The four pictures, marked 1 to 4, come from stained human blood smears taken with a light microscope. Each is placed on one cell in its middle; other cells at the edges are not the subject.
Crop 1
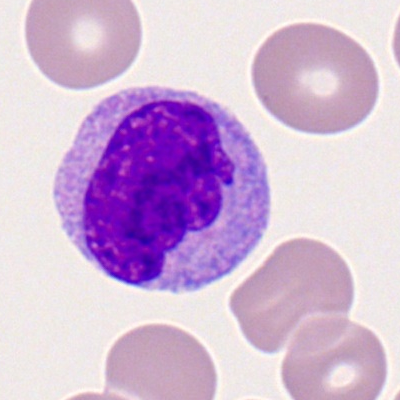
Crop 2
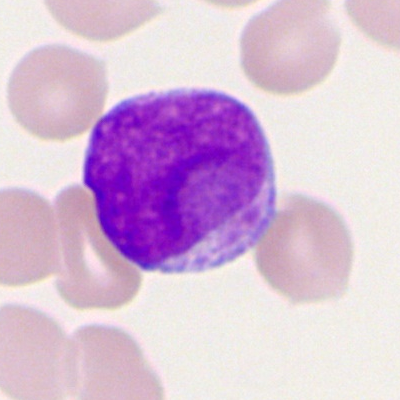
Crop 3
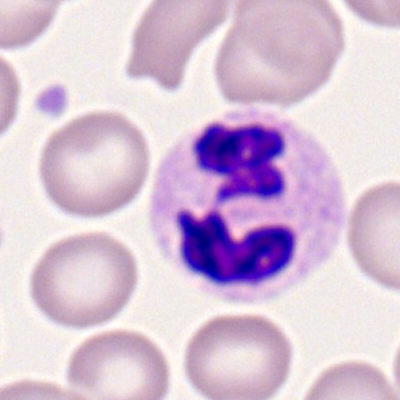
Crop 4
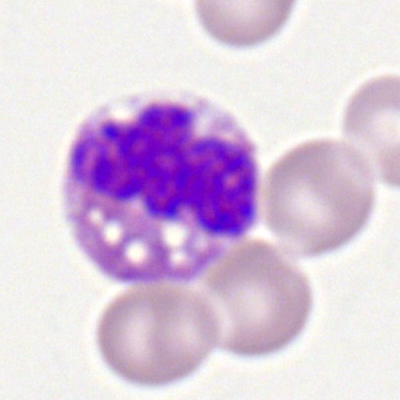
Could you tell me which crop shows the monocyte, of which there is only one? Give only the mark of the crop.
1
